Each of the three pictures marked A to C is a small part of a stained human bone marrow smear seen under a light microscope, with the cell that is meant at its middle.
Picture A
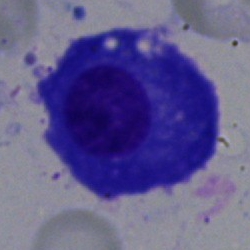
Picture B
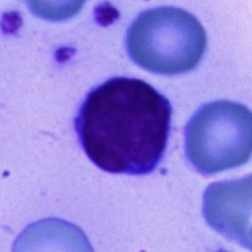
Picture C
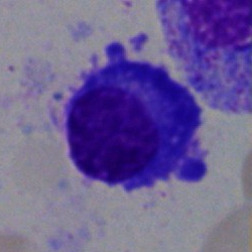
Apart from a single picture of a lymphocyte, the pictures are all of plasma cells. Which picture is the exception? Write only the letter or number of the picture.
B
